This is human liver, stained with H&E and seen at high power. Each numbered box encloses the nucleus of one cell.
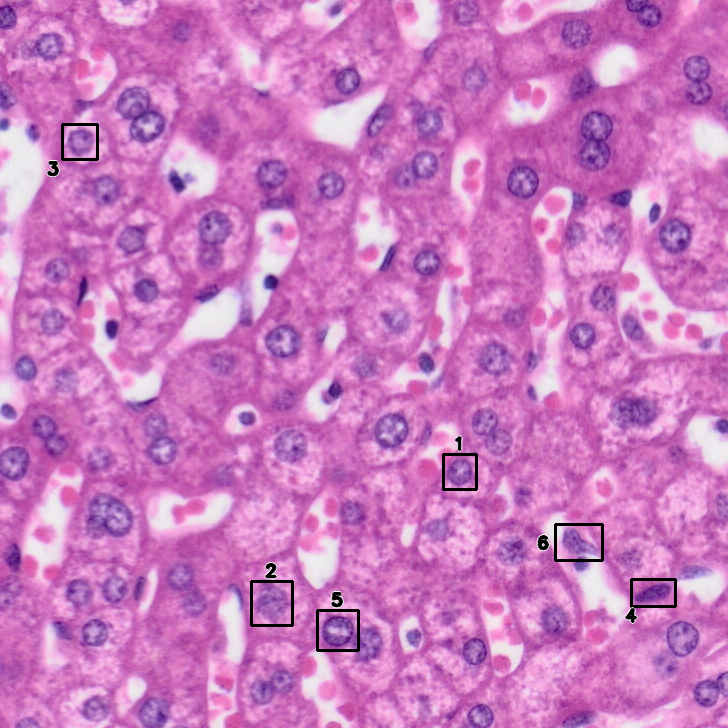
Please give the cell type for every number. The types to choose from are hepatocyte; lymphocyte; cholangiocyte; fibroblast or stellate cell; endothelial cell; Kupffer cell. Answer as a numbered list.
1. hepatocyte
2. hepatocyte
3. hepatocyte
4. fibroblast or stellate cell
5. hepatocyte
6. Kupffer cell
